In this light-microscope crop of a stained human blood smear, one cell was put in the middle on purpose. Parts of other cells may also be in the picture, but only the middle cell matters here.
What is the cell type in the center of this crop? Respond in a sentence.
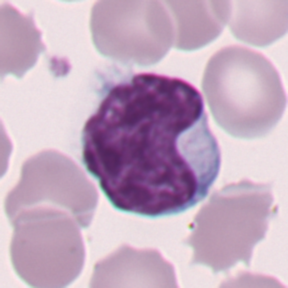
The centrally located cell in the crop is a typical lymphocyte.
